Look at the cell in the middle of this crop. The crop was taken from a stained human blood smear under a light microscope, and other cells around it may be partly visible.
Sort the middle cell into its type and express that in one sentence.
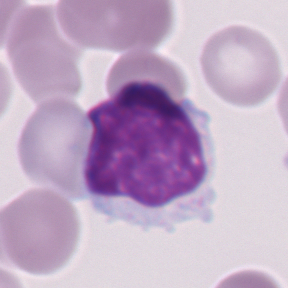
Of the cells in this crop, the central one is a large granular lymphocyte.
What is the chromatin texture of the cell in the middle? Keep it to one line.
One feature to record is coarsely clumped chromatin.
